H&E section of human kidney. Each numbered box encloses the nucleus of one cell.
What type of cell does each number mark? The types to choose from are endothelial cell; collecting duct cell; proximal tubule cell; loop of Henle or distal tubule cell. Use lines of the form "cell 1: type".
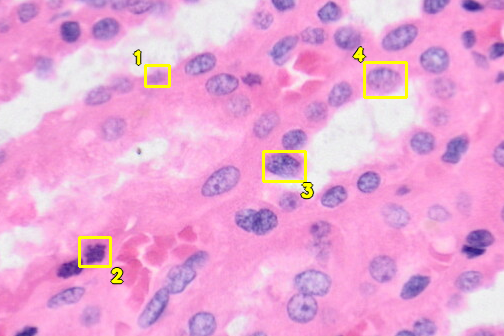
cell 1: loop of Henle or distal tubule cell
cell 2: proximal tubule cell
cell 3: loop of Henle or distal tubule cell
cell 4: loop of Henle or distal tubule cell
